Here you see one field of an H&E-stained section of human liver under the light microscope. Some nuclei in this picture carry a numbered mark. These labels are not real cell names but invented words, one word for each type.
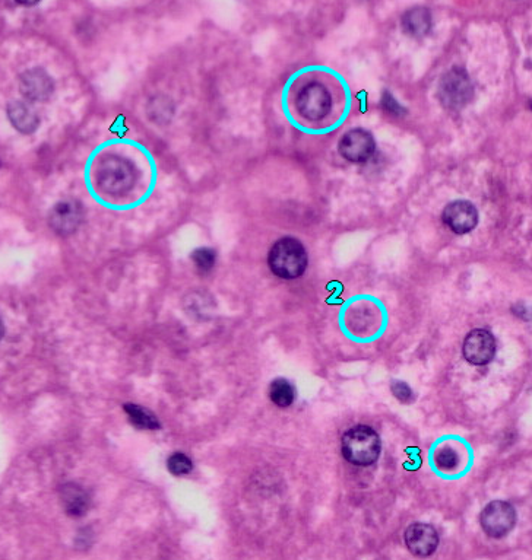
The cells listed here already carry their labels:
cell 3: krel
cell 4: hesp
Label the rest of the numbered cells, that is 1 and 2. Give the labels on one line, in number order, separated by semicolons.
hesp; hesp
